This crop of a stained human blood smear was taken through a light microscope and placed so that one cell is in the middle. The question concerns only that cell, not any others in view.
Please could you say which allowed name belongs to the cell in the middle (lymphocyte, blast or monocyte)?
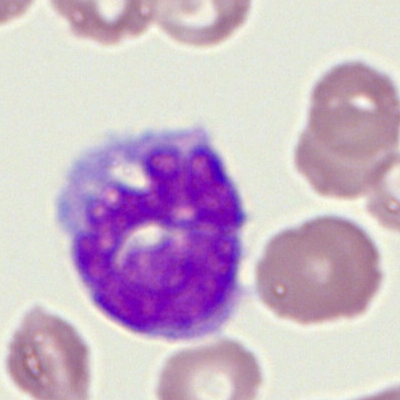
monocyte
